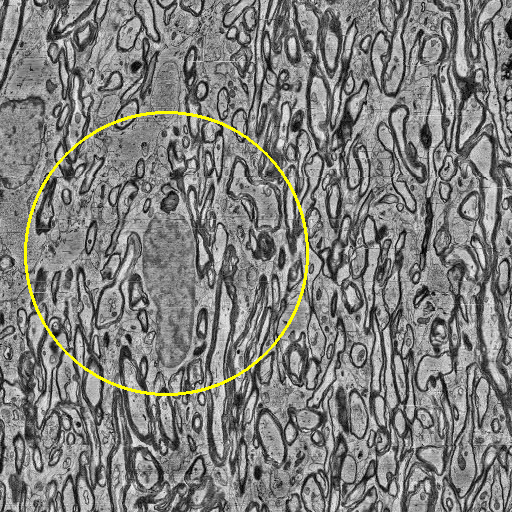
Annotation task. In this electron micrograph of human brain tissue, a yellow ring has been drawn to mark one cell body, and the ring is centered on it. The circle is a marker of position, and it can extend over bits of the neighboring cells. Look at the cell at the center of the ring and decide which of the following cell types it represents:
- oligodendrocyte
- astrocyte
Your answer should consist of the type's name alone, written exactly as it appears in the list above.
oligodendrocyte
